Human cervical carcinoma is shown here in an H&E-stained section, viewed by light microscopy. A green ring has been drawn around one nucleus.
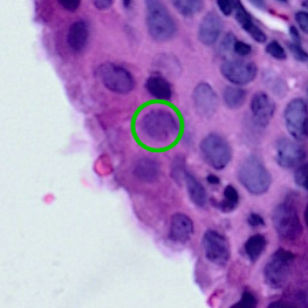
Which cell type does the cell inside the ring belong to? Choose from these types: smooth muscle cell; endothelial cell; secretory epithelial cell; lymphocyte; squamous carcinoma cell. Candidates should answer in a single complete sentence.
In this field of tissue, the cell inside the ring is a secretory epithelial cell.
